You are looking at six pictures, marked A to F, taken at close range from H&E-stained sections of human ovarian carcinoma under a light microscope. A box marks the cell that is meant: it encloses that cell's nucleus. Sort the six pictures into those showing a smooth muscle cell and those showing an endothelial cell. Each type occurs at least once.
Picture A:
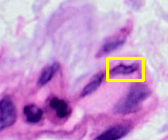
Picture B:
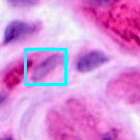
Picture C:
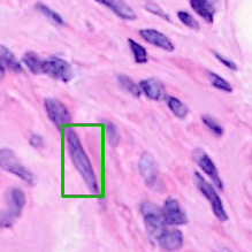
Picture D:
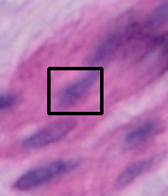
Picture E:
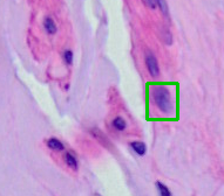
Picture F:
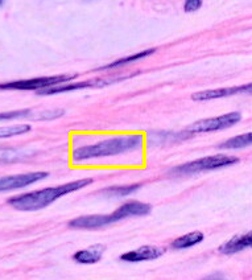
A: endothelial cell
B: endothelial cell
C: smooth muscle cell
D: smooth muscle cell
E: smooth muscle cell
F: smooth muscle cell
